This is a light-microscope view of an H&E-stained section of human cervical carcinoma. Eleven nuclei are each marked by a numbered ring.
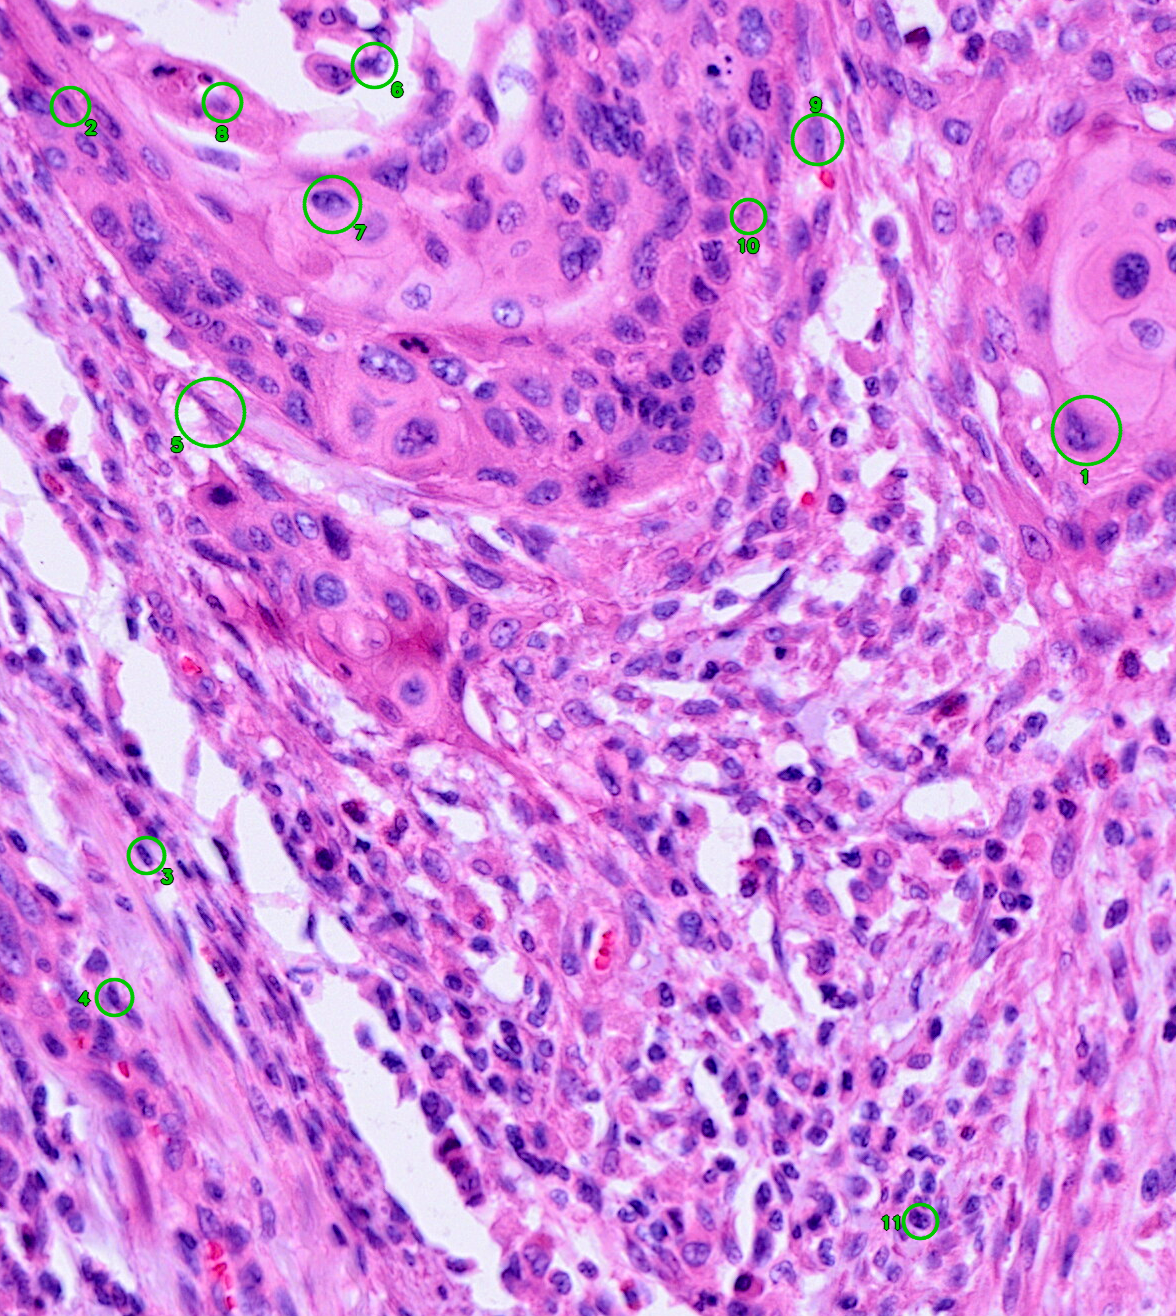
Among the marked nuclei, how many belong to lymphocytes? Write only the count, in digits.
3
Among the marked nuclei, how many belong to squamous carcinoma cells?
6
